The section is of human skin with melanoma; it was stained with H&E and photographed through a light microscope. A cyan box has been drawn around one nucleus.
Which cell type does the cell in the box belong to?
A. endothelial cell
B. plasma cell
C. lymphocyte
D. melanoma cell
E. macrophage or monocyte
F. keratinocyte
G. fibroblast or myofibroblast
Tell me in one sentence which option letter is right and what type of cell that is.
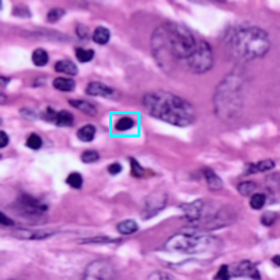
The proper choice here is C: the cell in the box is a lymphocyte.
